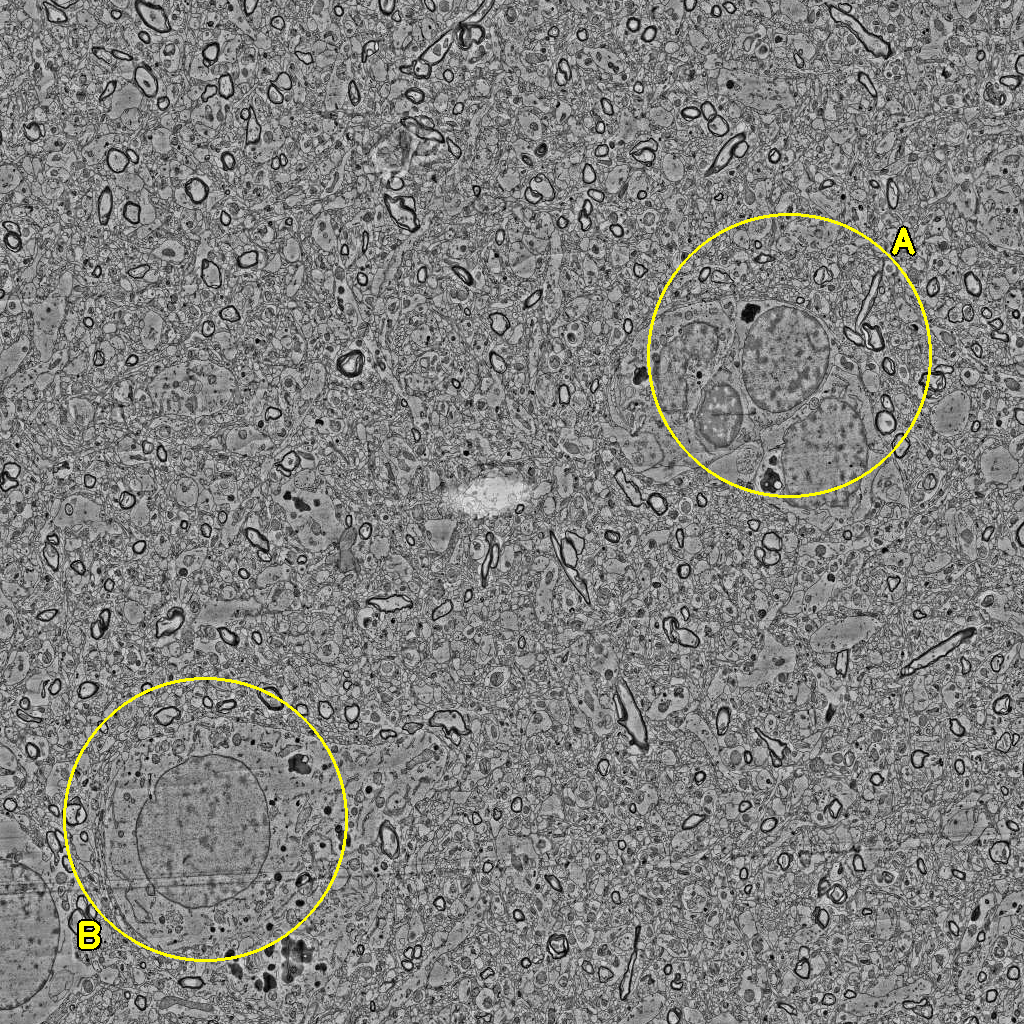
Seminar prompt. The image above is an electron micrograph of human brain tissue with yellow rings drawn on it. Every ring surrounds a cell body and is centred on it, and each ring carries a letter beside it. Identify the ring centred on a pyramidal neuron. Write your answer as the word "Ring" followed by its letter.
Ring B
